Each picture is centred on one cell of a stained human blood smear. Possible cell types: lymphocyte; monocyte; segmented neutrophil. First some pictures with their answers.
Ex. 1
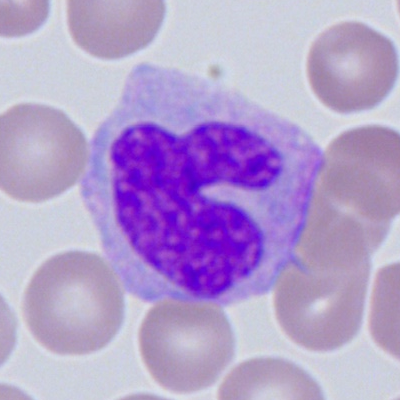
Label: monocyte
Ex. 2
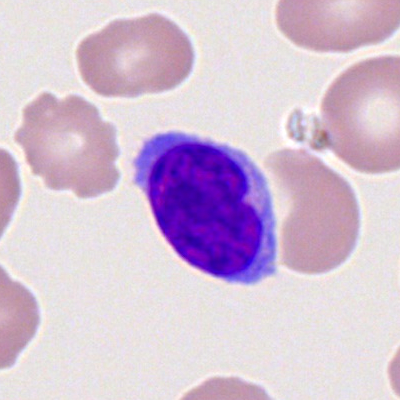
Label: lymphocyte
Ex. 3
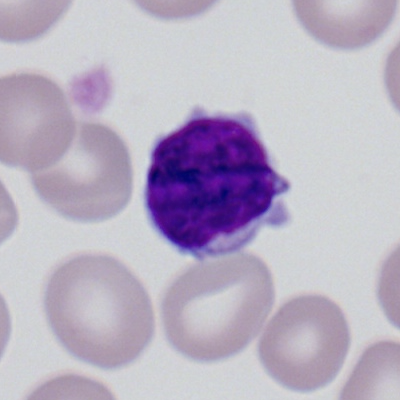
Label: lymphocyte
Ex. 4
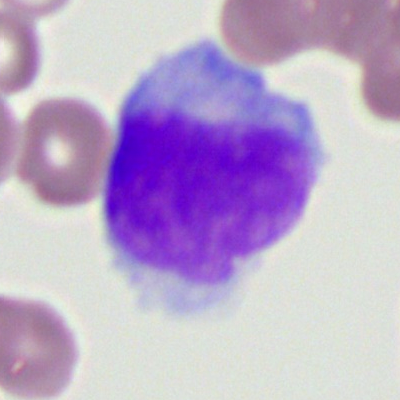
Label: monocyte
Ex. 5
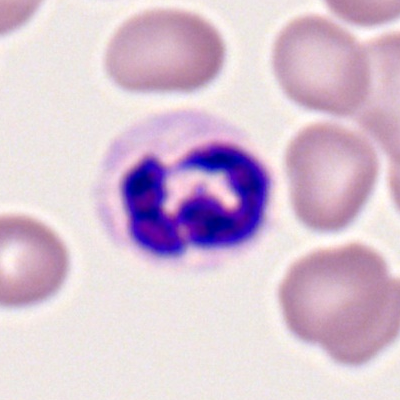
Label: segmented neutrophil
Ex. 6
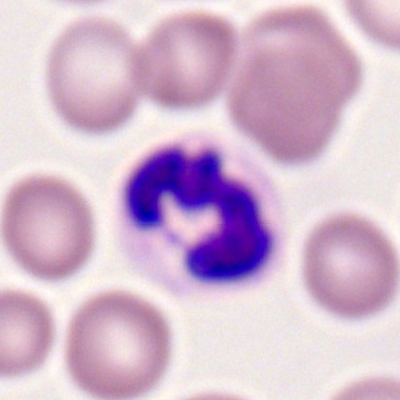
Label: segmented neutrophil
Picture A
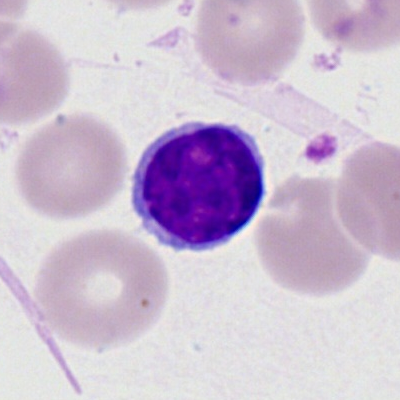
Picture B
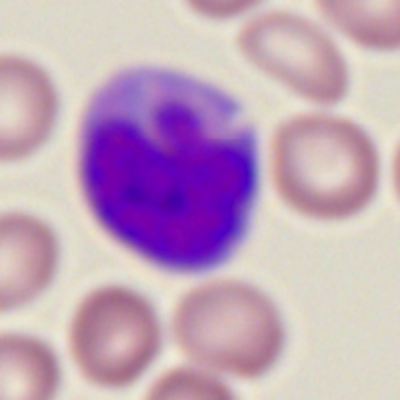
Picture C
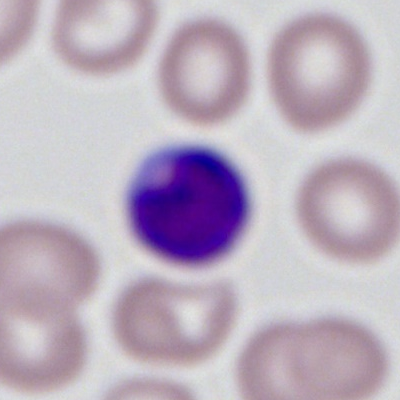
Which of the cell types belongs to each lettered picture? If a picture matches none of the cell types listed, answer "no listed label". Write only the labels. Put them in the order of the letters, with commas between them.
lymphocyte, monocyte, lymphocyte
